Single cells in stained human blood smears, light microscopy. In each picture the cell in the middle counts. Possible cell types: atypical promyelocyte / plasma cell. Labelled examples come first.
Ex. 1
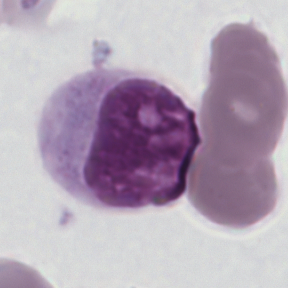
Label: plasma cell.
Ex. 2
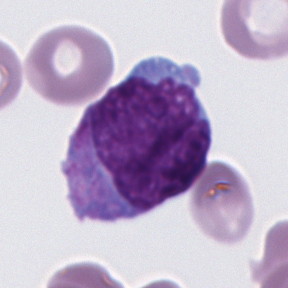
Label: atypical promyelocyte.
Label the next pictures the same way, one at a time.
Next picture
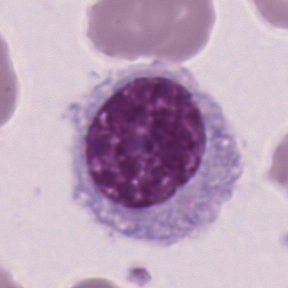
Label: plasma cell.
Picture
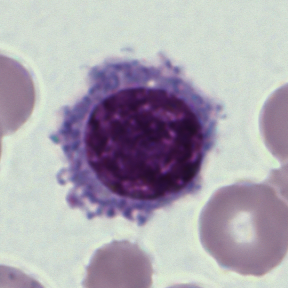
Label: plasma cell.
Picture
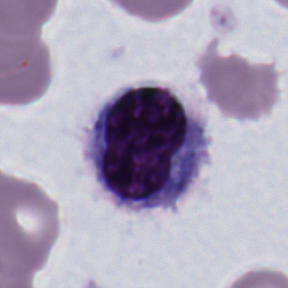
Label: plasma cell.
